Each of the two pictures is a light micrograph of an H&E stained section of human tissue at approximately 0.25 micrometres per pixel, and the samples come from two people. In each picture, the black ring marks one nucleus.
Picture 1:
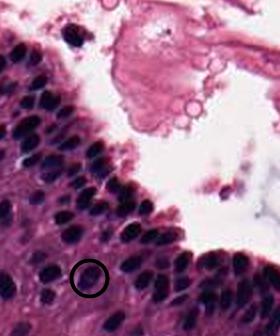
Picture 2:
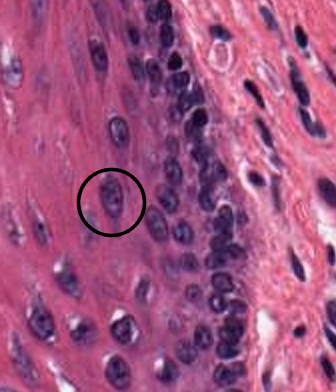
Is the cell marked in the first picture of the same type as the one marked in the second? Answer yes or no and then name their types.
Yes, both are squamous epithelial cells.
